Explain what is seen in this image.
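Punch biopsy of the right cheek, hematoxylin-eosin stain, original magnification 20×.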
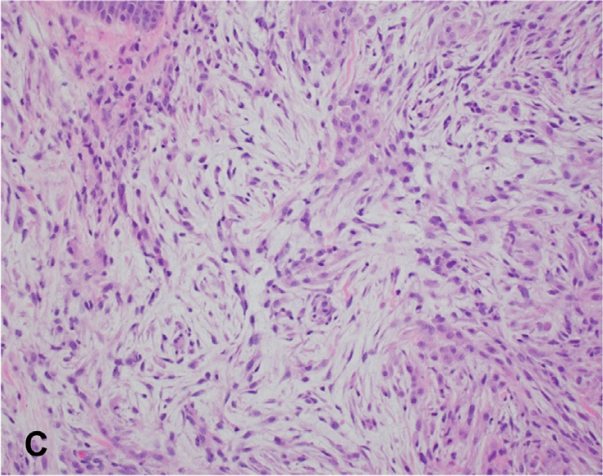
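This is dermis of the skin in which granuloma formation is seen, made of plump histiocyte-like cells among spindle cells. The cells have oval to elongated, pale purple nuclei and a moderate amount of pale pink cytoplasm, and they gather in loose clusters and swirling fascicles. Between these groups the stroma is pale, loose and wispy rather than dense pink collagen. A strip of basal epidermal cells with darker nuclei is seen at the upper left corner.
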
